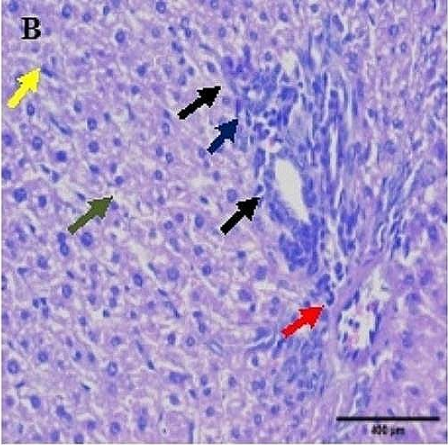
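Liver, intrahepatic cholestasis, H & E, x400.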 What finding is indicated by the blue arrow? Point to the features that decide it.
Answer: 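The arrow points into a dense cluster of small dark-blue nuclei. The cluster lies around a vessel with a clear lumen.
Answer: portal inflammation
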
